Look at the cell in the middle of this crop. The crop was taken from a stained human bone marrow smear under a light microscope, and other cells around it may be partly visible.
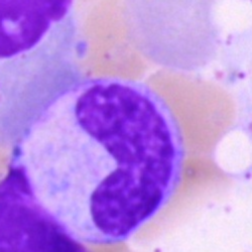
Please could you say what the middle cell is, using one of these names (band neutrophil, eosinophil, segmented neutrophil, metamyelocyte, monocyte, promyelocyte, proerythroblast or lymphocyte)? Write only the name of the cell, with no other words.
band neutrophil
